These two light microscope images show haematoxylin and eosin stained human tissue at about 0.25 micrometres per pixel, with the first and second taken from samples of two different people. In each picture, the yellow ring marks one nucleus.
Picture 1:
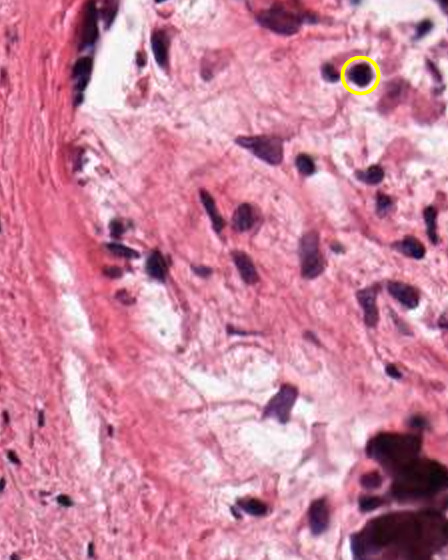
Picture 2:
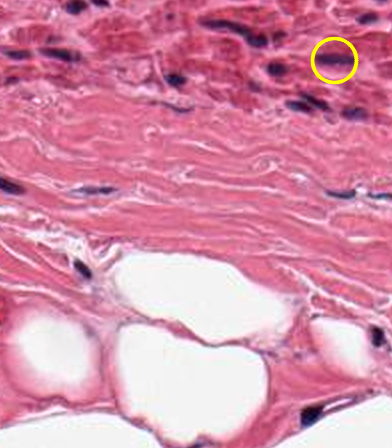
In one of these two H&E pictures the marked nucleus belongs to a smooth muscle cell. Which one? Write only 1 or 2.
2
